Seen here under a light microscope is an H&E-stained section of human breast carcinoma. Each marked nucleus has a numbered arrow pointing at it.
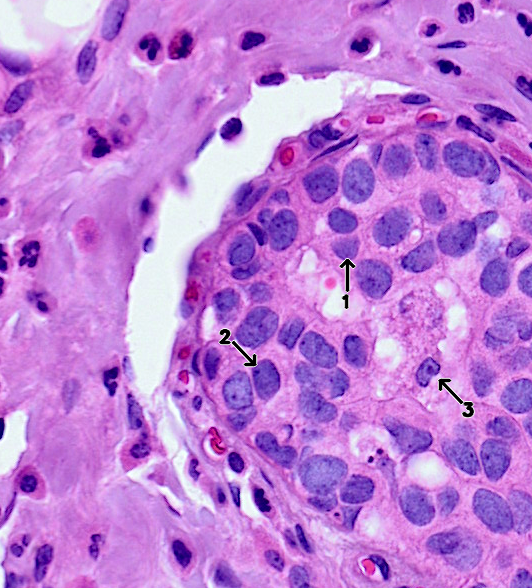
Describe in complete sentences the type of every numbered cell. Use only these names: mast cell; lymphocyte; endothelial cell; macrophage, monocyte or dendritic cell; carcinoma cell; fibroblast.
Cell 1 is a carcinoma cell, cell 2 is a carcinoma cell and cell 3 is a macrophage, monocyte or dendritic cell.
